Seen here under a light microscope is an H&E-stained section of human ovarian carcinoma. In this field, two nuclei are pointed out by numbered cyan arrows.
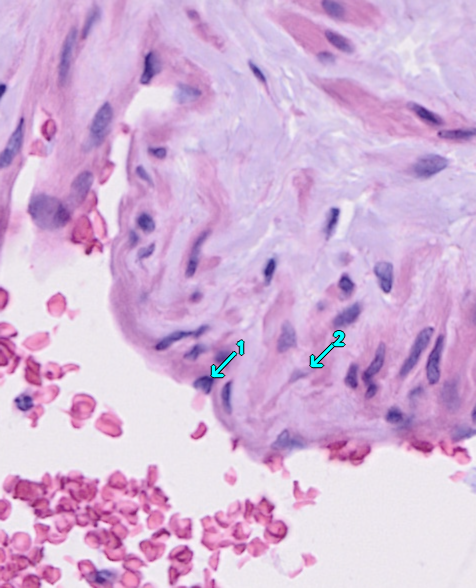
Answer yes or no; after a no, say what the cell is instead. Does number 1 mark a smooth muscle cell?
No, it is an endothelial cell.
